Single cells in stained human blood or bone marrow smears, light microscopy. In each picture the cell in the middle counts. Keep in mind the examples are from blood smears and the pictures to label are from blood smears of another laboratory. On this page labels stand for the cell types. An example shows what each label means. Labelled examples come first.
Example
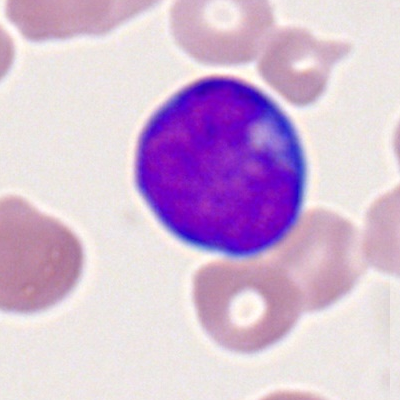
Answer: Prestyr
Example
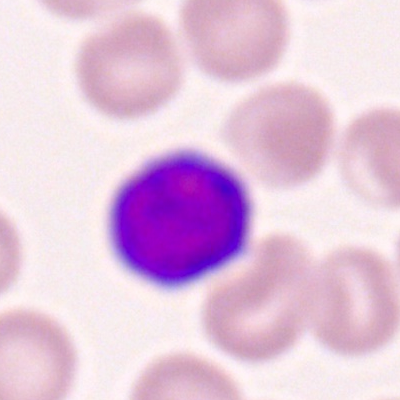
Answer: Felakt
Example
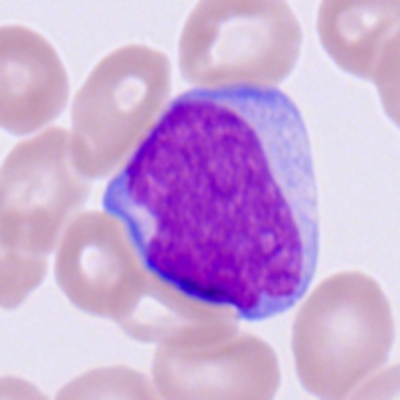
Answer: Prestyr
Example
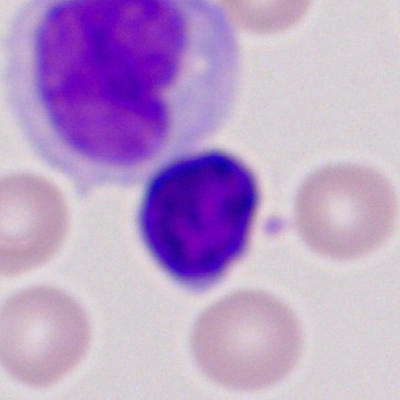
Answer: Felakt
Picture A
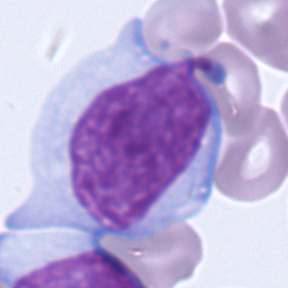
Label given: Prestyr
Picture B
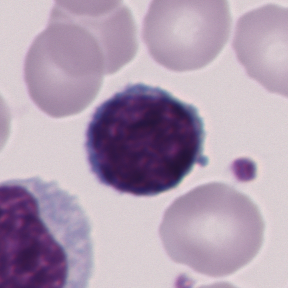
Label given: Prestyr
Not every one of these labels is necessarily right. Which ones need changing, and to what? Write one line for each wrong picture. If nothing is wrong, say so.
B is labelled Prestyr; correct label: Felakt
